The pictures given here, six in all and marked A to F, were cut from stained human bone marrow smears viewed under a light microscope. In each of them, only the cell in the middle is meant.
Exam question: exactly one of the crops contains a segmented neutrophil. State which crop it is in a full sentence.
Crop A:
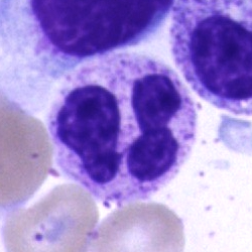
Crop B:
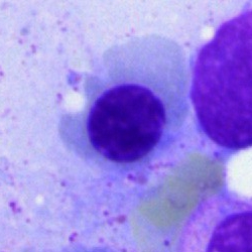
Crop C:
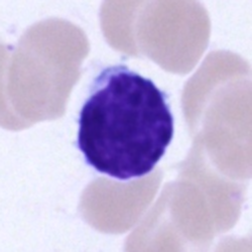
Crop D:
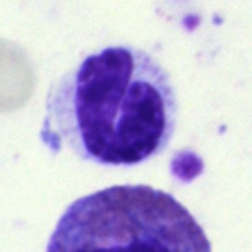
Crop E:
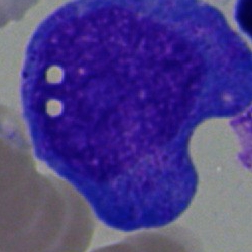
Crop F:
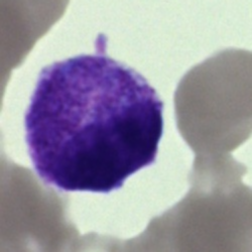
Crop A is the crop in which a segmented neutrophil is shown.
